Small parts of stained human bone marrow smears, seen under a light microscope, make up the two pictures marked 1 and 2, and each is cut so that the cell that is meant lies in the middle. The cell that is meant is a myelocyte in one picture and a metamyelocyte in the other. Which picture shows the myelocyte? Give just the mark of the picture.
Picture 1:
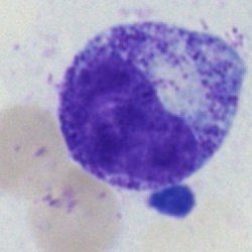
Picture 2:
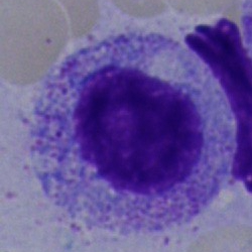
2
